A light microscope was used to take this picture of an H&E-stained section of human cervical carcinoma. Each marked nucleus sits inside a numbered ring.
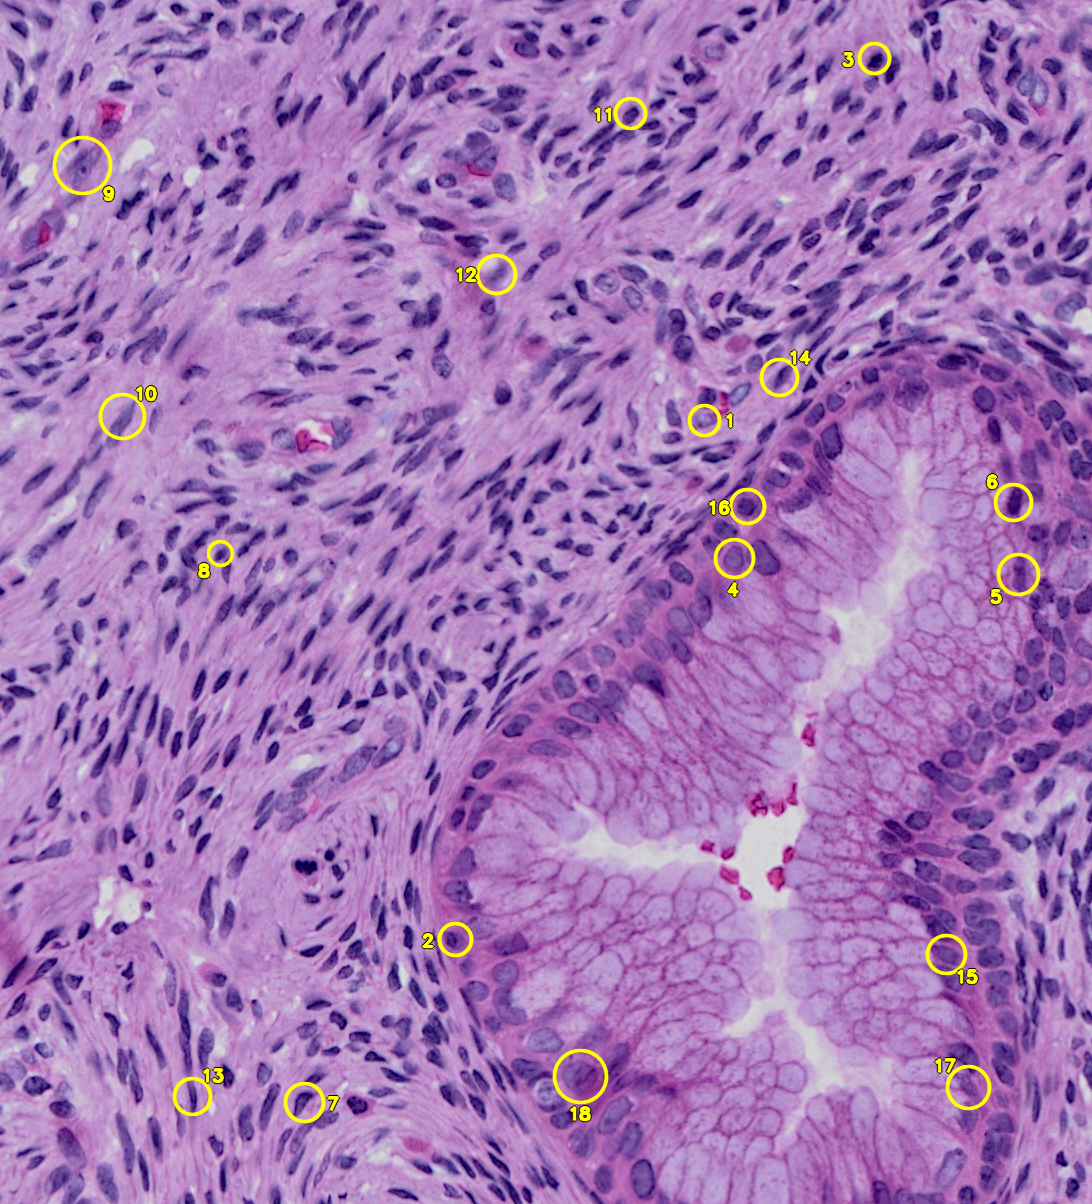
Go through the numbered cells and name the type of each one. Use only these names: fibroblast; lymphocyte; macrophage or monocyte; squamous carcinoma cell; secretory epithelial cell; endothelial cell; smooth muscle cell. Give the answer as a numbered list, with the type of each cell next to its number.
1. endothelial cell
2. secretory epithelial cell
3. lymphocyte
4. secretory epithelial cell
5. secretory epithelial cell
6. secretory epithelial cell
7. fibroblast
8. fibroblast
9. endothelial cell
10. fibroblast
11. fibroblast
12. fibroblast
13. fibroblast
14. fibroblast
15. secretory epithelial cell
16. secretory epithelial cell
17. secretory epithelial cell
18. secretory epithelial cell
